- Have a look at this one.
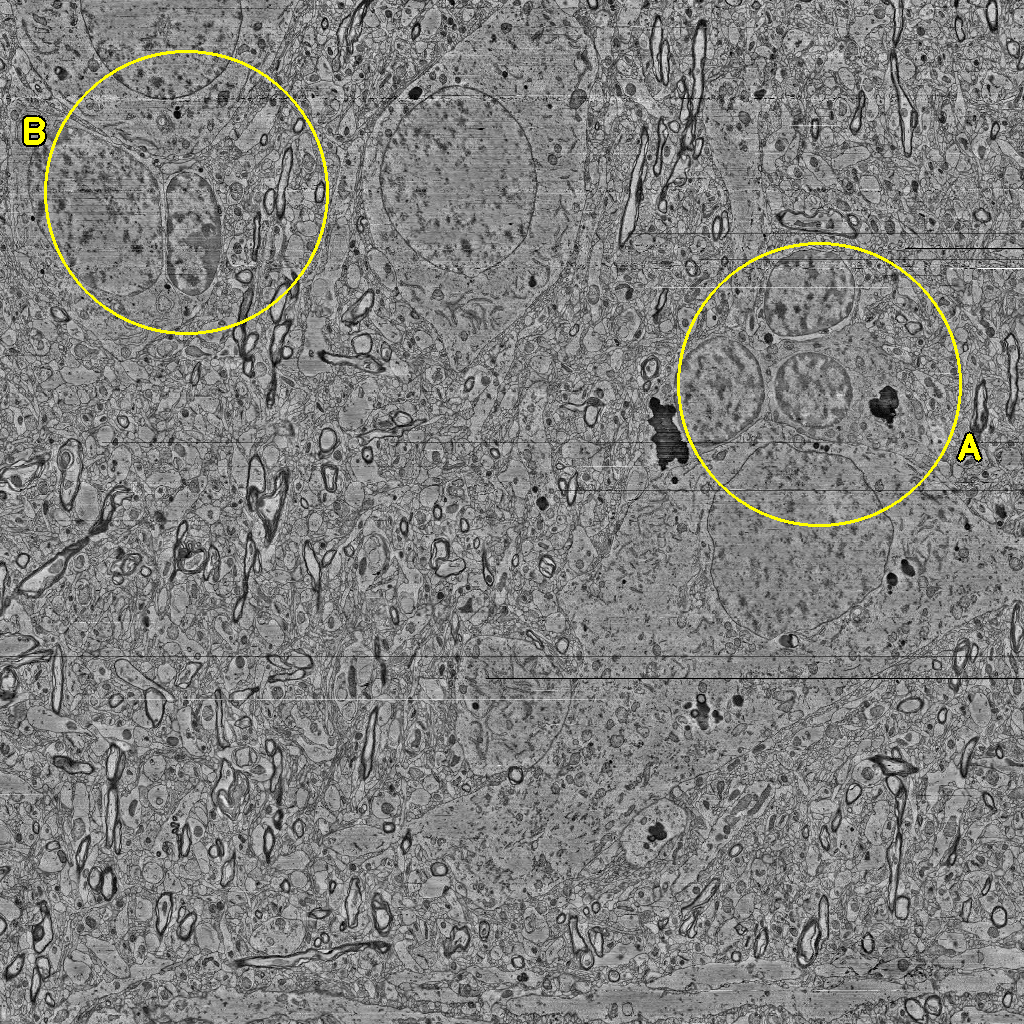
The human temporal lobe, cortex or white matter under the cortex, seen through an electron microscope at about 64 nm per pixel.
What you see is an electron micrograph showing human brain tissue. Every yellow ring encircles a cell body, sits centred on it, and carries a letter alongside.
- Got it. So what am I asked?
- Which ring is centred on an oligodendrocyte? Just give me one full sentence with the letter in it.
The cell asked for sits in the centre of the ring lettered A.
